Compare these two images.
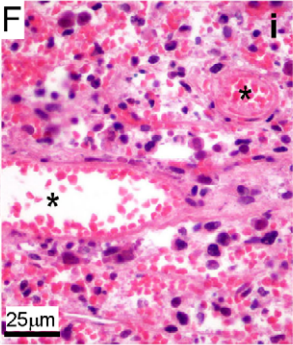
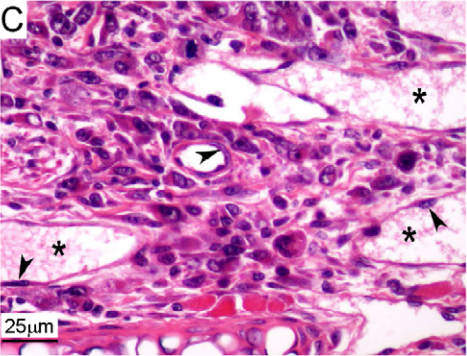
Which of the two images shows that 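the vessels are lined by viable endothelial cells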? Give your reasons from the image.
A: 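Second image: vessel lumens are lined by thin cells with distinct elongated nuclei. The answer: the second image.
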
